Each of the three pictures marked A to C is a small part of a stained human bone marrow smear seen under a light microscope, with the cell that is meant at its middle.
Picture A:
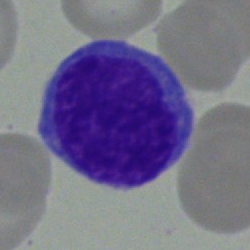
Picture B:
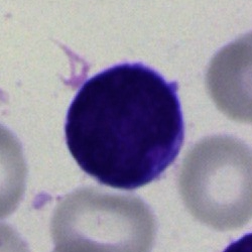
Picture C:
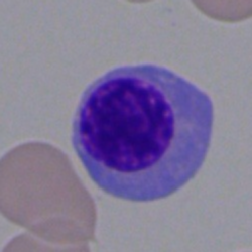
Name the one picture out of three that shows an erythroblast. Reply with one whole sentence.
It is picture C that shows the erythroblast.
